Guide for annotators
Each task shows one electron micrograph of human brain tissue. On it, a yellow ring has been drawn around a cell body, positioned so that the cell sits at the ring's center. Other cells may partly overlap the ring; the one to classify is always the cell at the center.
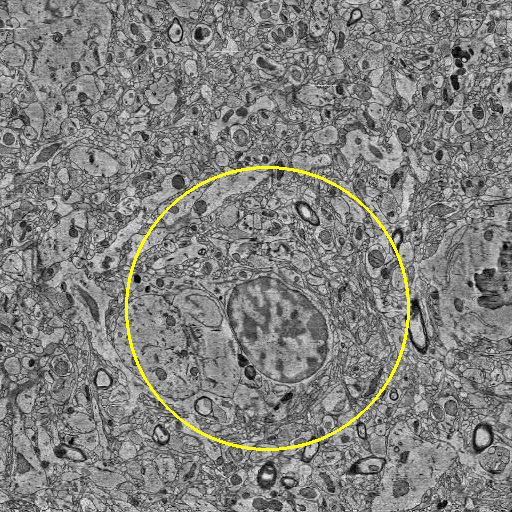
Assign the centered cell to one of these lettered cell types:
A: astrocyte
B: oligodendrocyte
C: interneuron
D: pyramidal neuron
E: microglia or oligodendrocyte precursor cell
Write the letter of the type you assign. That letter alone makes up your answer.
E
